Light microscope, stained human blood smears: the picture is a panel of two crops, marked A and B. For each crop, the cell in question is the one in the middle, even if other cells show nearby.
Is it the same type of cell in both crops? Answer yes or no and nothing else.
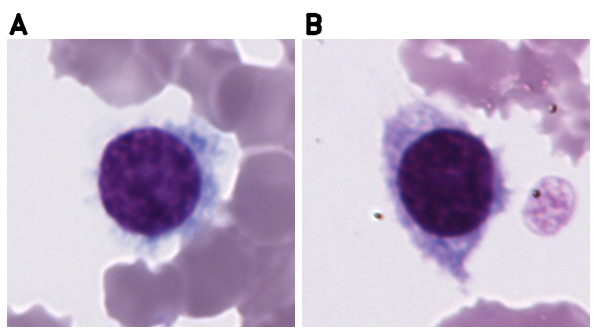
yes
